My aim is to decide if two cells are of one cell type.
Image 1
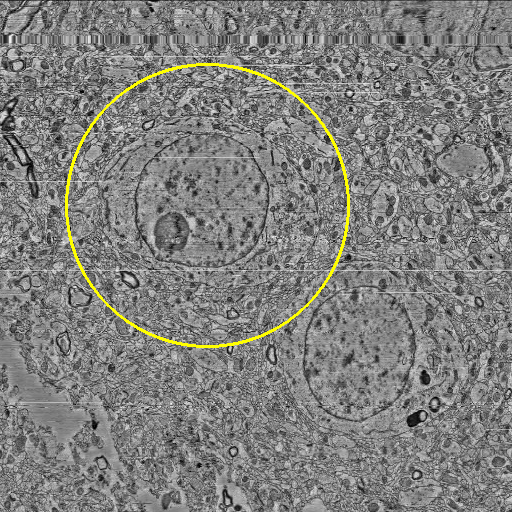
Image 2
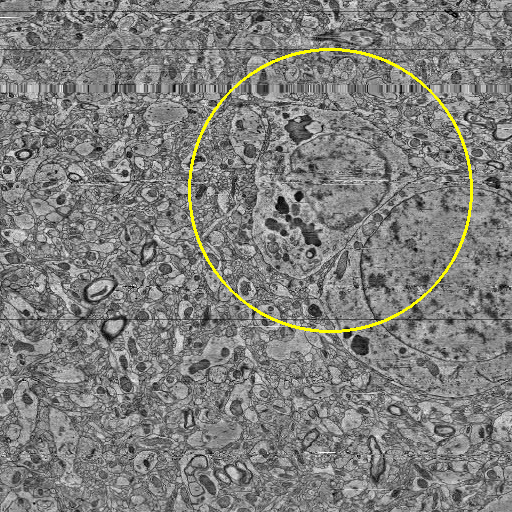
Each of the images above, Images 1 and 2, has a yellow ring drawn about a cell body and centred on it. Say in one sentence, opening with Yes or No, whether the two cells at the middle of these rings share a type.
No, in Images 1 and 2 the cells at the middle of the rings fall into two types.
